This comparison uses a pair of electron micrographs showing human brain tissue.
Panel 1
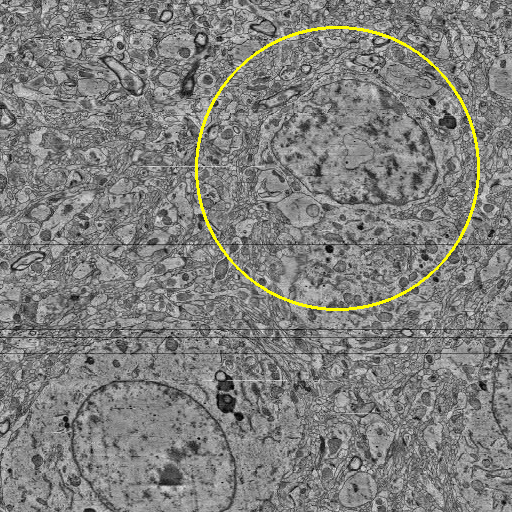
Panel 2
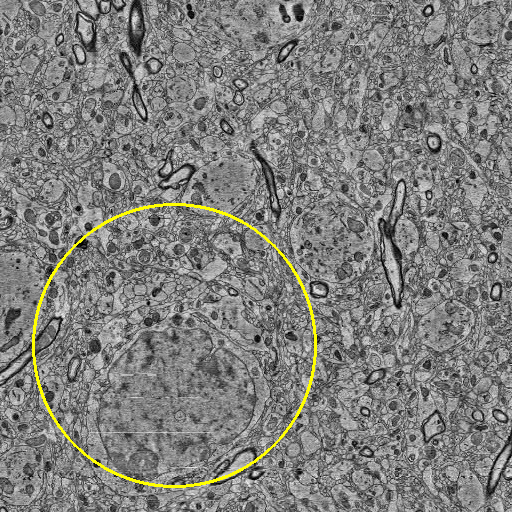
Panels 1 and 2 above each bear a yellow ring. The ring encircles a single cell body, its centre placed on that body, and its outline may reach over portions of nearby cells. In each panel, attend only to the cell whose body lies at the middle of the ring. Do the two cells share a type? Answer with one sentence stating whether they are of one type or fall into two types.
In Panel 1 and Panel 2, the cells at the centres of the rings are of one type.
